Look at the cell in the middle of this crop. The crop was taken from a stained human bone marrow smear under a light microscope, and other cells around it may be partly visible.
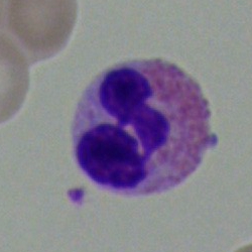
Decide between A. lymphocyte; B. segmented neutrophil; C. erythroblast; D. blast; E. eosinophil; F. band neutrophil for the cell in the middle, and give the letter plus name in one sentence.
For this crop, option E is right, the centered cell being an eosinophil.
